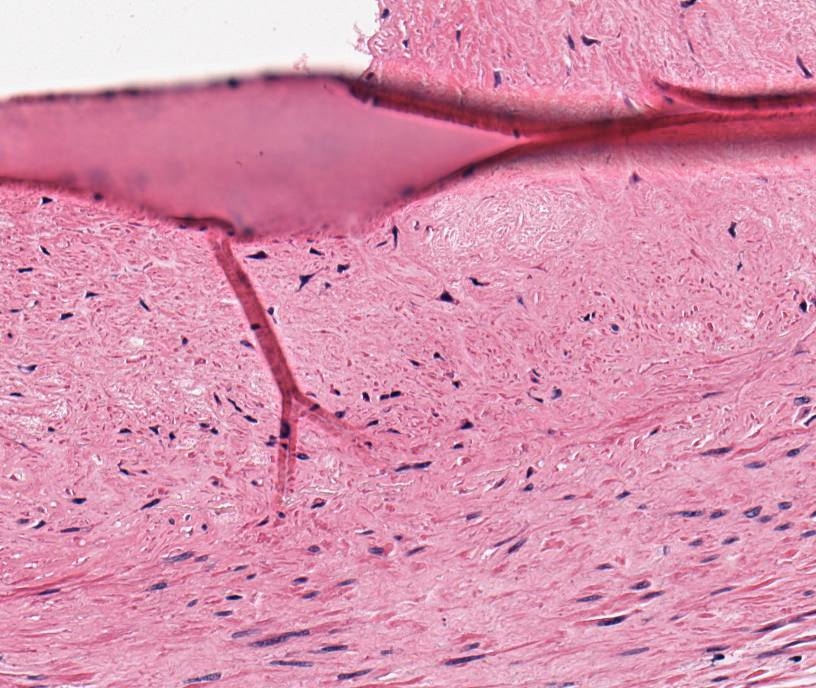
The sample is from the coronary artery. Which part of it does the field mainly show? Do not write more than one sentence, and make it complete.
Shown here is the tissue part known as tunica intima.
